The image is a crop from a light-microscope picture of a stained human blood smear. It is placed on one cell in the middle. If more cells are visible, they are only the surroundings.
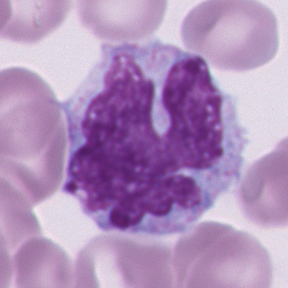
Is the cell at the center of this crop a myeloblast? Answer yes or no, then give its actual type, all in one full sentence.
No, it is a monocyte rather than a myeloblast that the middle of the crop contains.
